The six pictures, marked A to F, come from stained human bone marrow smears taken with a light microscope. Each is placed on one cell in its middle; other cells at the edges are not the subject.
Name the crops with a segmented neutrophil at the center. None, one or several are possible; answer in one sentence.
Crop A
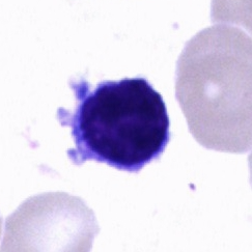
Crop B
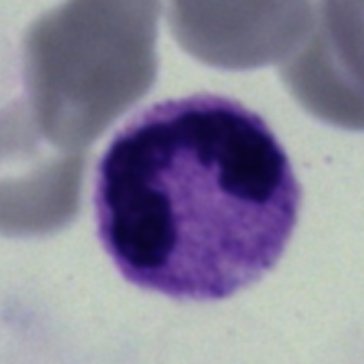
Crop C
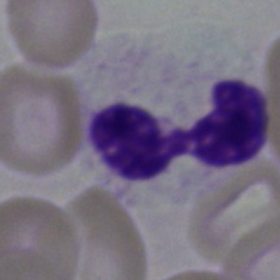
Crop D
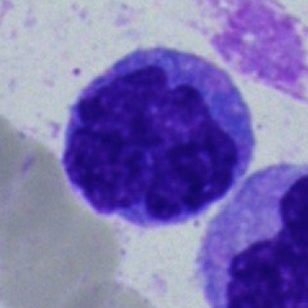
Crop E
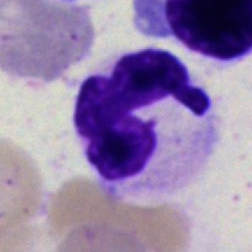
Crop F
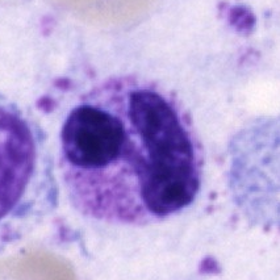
Crops B, C, E and F present segmented neutrophils as their central cells.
